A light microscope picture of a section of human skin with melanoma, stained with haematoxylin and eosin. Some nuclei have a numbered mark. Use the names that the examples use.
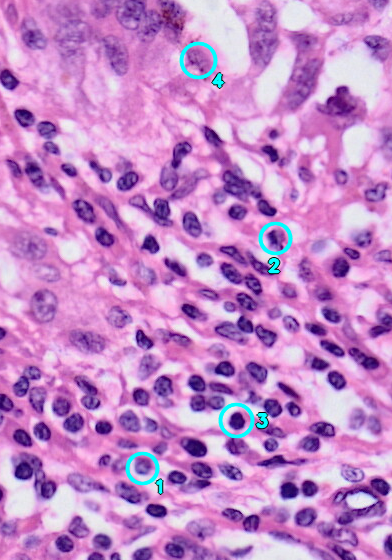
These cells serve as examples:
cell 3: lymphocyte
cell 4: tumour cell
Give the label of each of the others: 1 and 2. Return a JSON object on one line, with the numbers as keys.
{"1": "lymphocyte", "2": "lymphocyte"}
